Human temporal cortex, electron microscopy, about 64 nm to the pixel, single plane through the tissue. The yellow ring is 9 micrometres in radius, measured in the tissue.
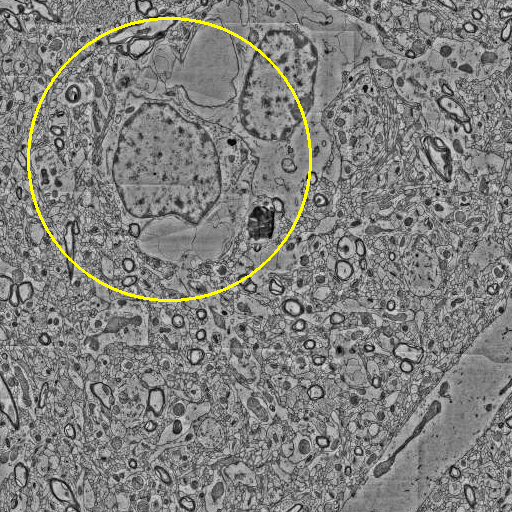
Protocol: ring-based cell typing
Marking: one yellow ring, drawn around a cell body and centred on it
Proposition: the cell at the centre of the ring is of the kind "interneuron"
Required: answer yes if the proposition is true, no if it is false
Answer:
no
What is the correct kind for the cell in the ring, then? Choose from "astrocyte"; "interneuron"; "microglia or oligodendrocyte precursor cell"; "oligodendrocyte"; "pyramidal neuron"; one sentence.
This picture has an astrocyte at the centre of its ring.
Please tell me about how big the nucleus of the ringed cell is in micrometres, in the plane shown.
Approximately 8 micrometres long and 7 micrometres wide, in this plane.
